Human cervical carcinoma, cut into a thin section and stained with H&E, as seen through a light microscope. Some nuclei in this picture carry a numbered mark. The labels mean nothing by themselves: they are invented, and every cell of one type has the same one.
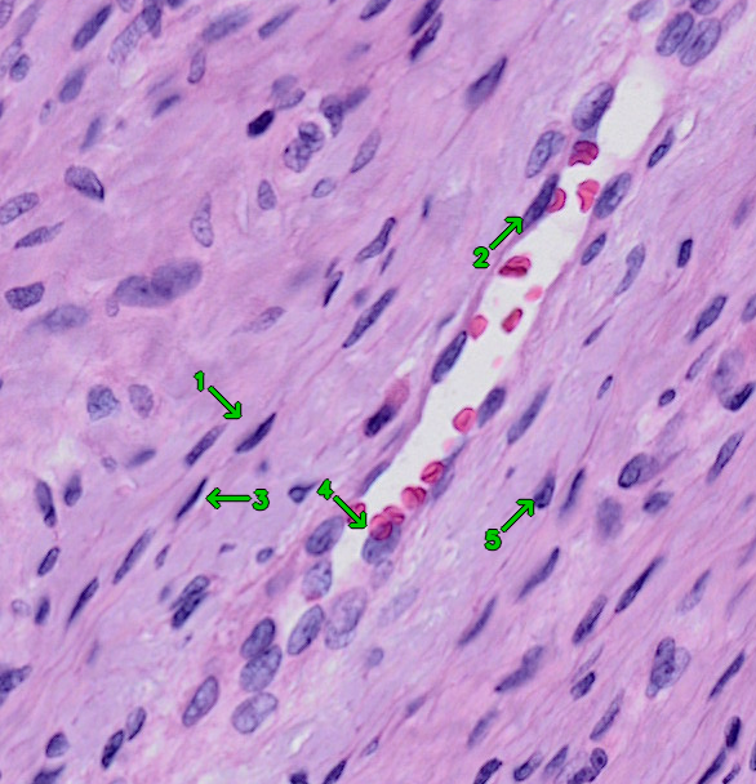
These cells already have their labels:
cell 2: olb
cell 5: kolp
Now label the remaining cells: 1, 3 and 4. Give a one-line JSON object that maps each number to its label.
{"1": "kolp", "3": "kolp", "4": "olb"}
